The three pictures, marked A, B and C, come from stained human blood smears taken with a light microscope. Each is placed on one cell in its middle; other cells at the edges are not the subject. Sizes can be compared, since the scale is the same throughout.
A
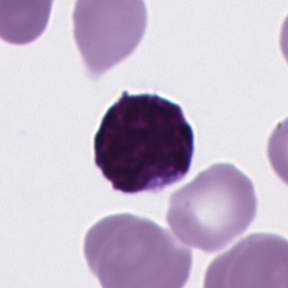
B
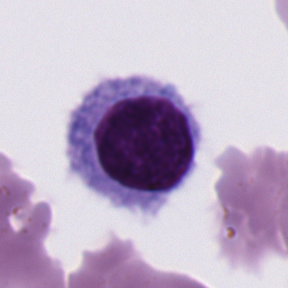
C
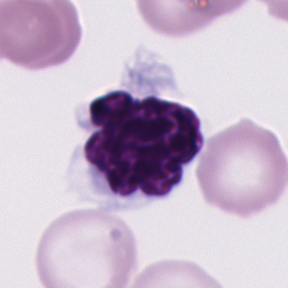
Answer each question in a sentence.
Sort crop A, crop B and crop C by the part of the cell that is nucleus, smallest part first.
The least filled comes first: B, C, A.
